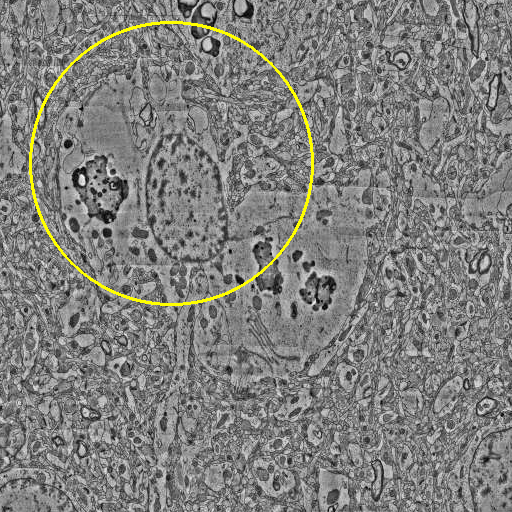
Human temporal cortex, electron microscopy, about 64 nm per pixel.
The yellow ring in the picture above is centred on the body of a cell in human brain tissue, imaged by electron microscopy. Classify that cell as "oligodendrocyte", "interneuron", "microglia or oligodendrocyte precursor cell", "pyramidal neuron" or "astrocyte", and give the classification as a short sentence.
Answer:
The cell in the middle of the ring is an astrocyte.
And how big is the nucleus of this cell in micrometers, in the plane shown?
In this plane, about 8 by 5 micrometres: the nucleus is clearly longer than it is wide.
